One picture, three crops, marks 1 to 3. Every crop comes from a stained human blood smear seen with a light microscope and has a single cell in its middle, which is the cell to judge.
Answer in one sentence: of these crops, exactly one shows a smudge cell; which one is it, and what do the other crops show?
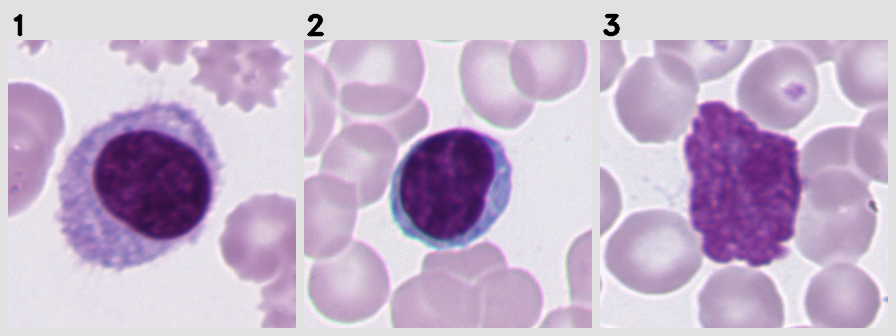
The cell of interest in crop 3 is a smudge cell, and crop 1 is a hairy cell and crop 2 is a typical lymphocyte.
